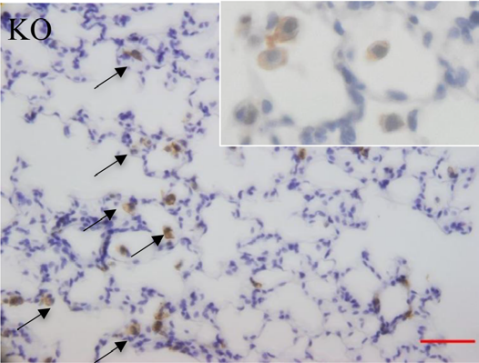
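Lung alveoli with thin septa lined by blue nuclei, and scattered large rounded cells whose cytoplasm is rimmed by brown stain around a central or eccentric blue nucleus. These cells sit singly or in small clusters in the air spaces and against the alveolar walls, and the inset shows them enlarged as plump round cells with abundant cytoplasm.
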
